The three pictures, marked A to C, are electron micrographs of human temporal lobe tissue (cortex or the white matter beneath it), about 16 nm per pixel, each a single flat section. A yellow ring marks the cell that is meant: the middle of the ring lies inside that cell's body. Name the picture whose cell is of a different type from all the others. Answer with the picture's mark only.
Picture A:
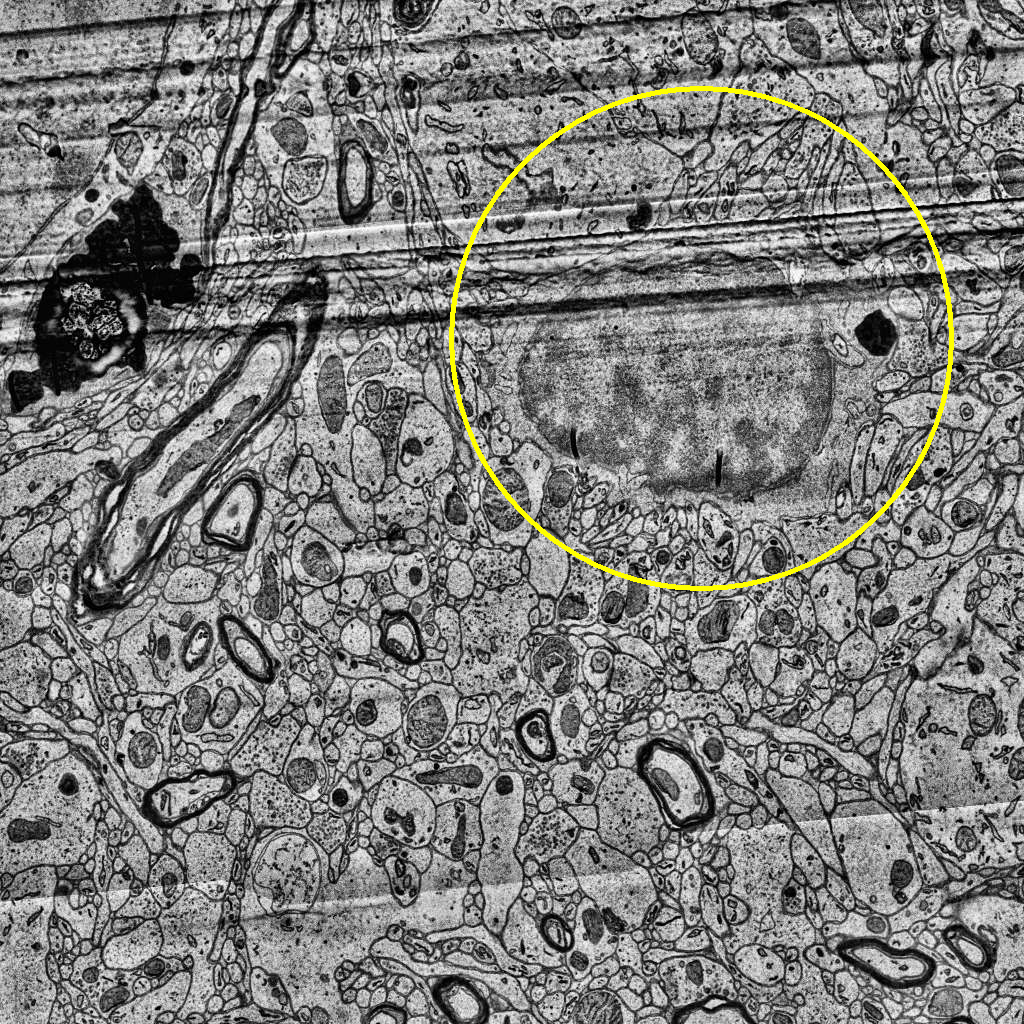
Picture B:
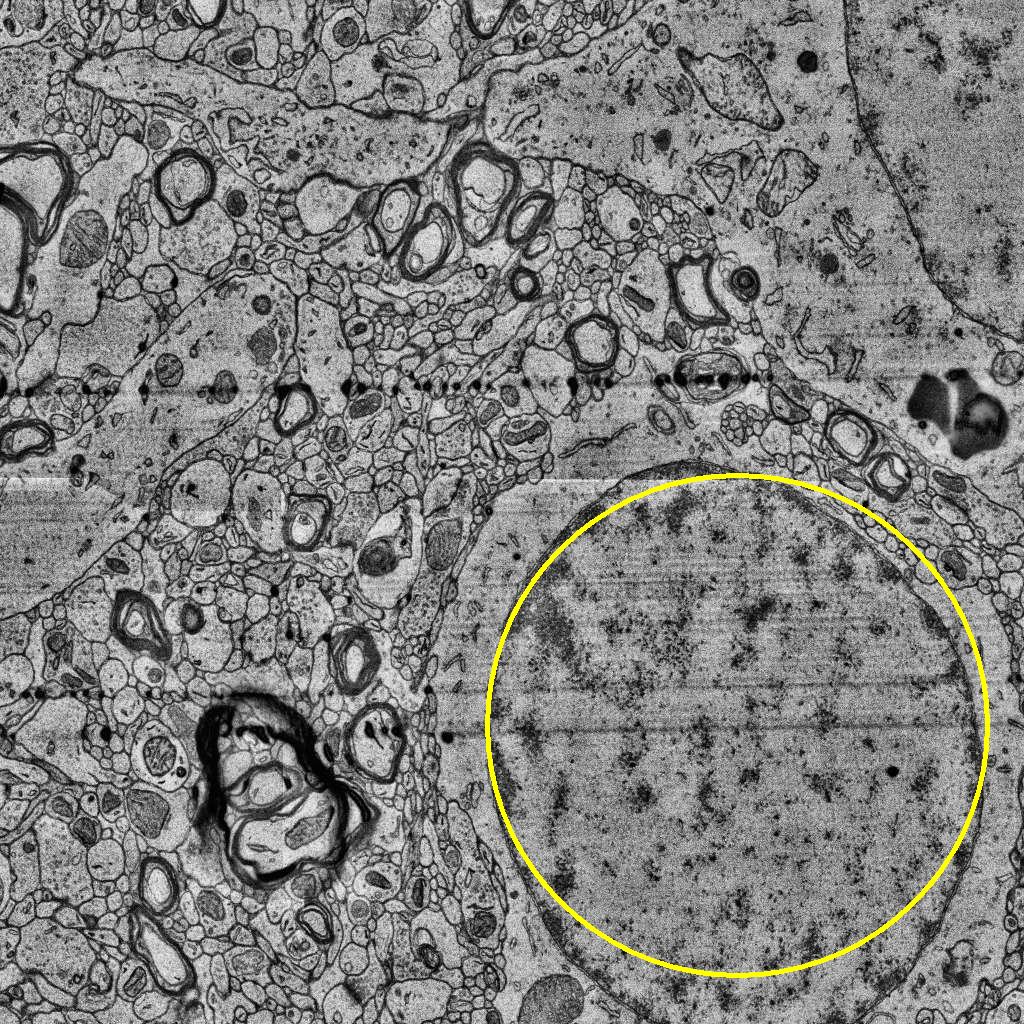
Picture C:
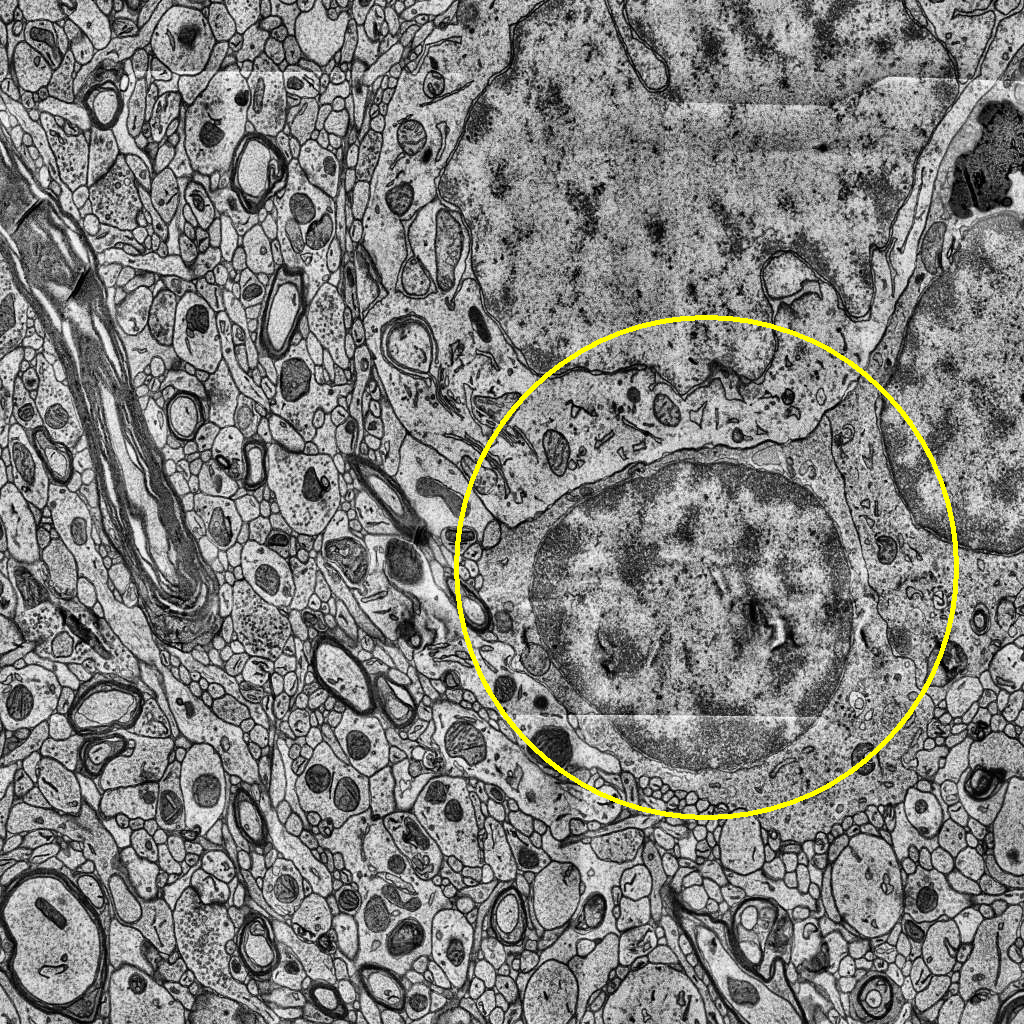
B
